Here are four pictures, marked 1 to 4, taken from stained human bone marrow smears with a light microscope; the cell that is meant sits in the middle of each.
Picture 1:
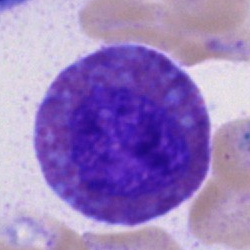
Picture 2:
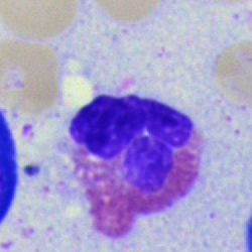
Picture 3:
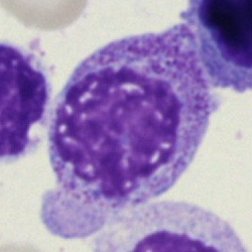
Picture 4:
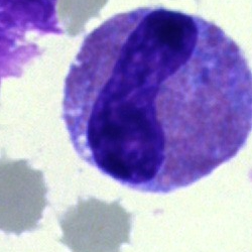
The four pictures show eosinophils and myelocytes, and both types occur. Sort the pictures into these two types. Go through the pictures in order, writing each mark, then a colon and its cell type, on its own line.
1: eosinophil
2: eosinophil
3: myelocyte
4: eosinophil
